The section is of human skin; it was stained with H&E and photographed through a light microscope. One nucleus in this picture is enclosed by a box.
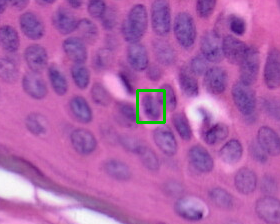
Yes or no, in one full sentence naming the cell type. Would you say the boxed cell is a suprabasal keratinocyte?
No, the boxed cell is termed a basal keratinocyte, not a suprabasal keratinocyte.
